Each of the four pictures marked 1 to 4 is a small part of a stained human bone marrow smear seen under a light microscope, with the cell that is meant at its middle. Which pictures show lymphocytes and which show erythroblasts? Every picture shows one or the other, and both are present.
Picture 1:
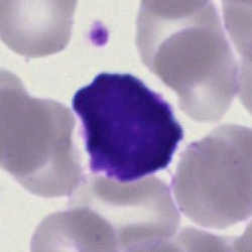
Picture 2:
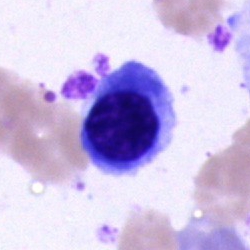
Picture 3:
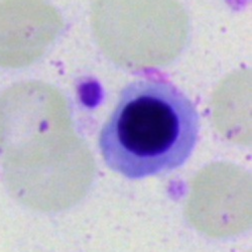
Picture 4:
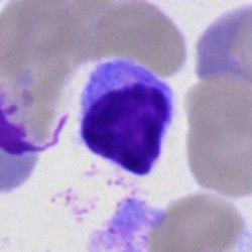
1: lymphocyte
2: erythroblast
3: erythroblast
4: lymphocyte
